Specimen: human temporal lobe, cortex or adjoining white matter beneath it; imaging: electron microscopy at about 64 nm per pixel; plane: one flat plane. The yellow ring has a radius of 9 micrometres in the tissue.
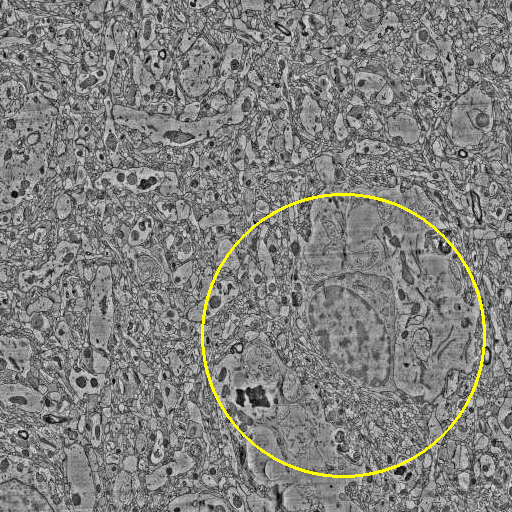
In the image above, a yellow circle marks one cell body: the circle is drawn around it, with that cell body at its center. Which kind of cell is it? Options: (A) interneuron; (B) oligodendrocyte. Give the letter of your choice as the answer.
B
